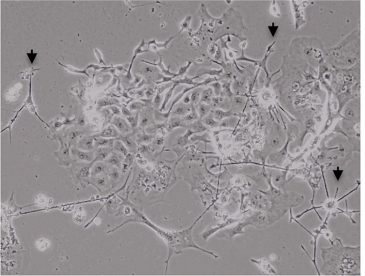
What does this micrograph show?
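In the centre the epithelial cells are flattened and polygonal, pressed against one another so that the colony has a cobblestone look. Around the colony lie separate cells with small bright bodies and very long, thin, branching processes that stretch across the dish. Some of these processes run up to and touch the edge of the colony.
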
